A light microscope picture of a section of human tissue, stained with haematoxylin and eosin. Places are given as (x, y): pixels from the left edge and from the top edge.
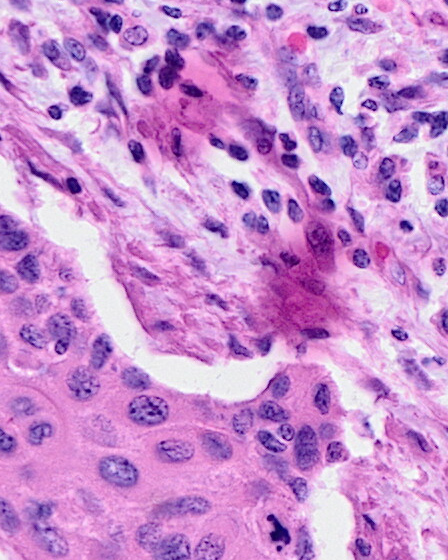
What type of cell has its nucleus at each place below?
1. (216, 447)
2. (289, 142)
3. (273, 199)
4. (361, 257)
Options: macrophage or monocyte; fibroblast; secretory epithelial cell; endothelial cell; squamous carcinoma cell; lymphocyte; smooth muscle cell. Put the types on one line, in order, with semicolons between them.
squamous carcinoma cell; lymphocyte; lymphocyte; lymphocyte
